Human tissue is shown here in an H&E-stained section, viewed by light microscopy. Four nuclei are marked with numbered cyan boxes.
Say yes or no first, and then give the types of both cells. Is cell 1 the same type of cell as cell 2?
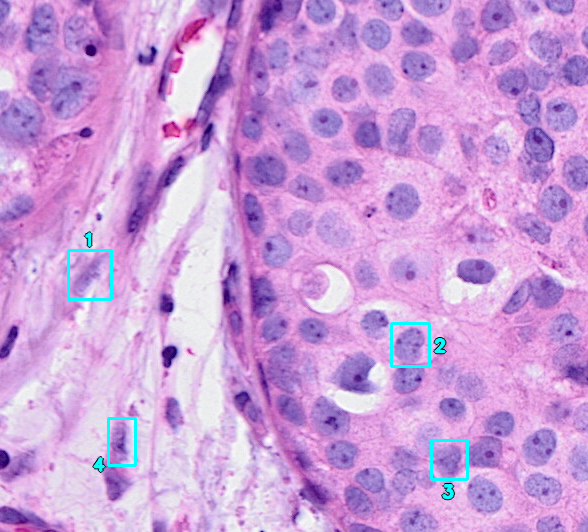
No, cell 1 is a fibroblast and cell 2 is a carcinoma cell.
